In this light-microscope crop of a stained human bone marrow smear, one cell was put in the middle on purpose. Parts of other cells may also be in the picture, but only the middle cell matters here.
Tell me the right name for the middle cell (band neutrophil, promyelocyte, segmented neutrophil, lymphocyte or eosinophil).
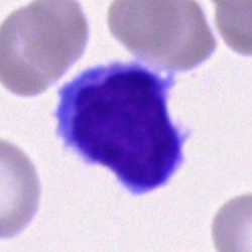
lymphocyte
